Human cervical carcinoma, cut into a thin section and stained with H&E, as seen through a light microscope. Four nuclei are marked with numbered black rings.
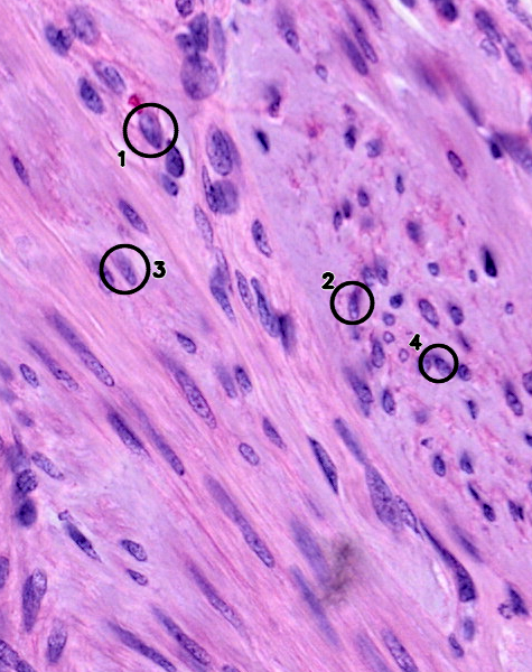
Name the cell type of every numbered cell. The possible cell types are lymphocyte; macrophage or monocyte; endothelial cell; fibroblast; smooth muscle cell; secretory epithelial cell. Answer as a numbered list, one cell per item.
1. endothelial cell
2. smooth muscle cell
3. smooth muscle cell
4. smooth muscle cell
